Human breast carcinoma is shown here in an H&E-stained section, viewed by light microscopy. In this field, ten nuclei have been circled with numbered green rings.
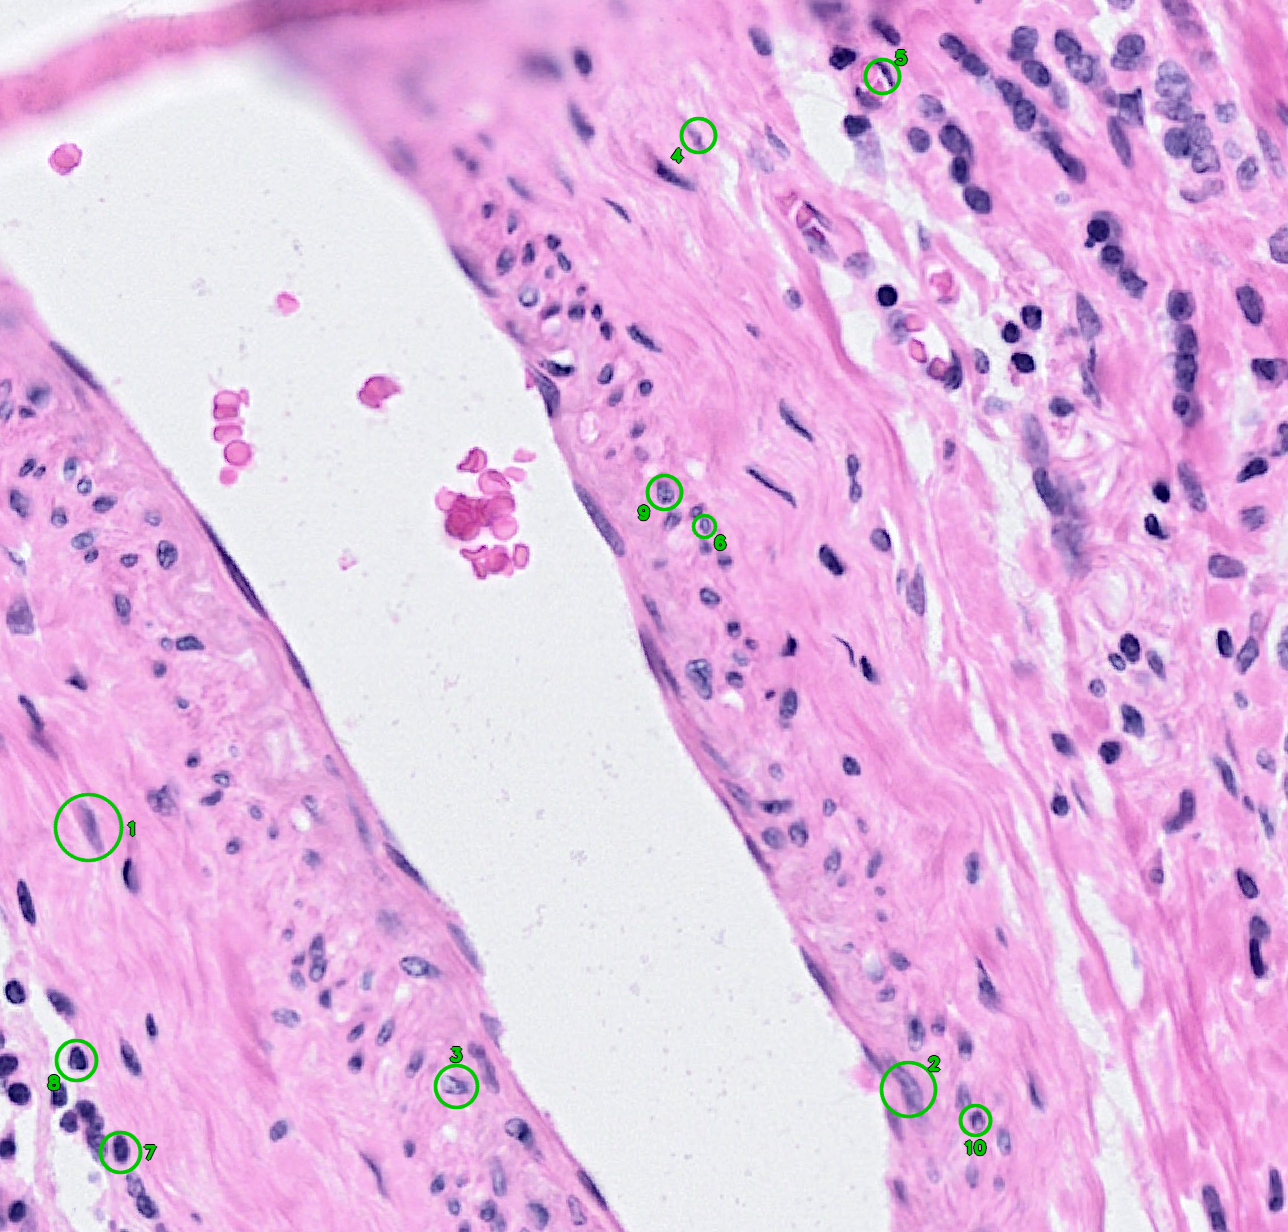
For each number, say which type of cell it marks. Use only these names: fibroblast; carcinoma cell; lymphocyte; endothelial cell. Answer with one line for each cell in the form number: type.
1: fibroblast
2: endothelial cell
3: endothelial cell
4: fibroblast
5: endothelial cell
6: endothelial cell
7: lymphocyte
8: lymphocyte
9: endothelial cell
10: endothelial cell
